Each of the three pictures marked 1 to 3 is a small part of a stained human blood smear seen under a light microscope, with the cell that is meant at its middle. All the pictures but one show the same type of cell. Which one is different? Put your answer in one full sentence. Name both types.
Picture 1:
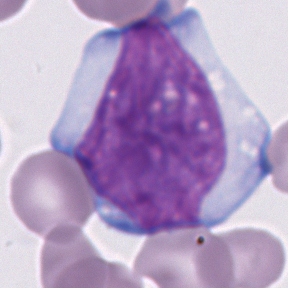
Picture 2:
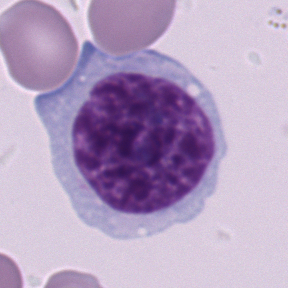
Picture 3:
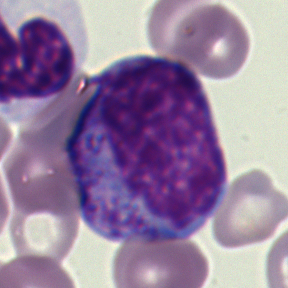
The different one is picture 3; it shows a promyelocyte, whereas all the others show myeloblasts.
